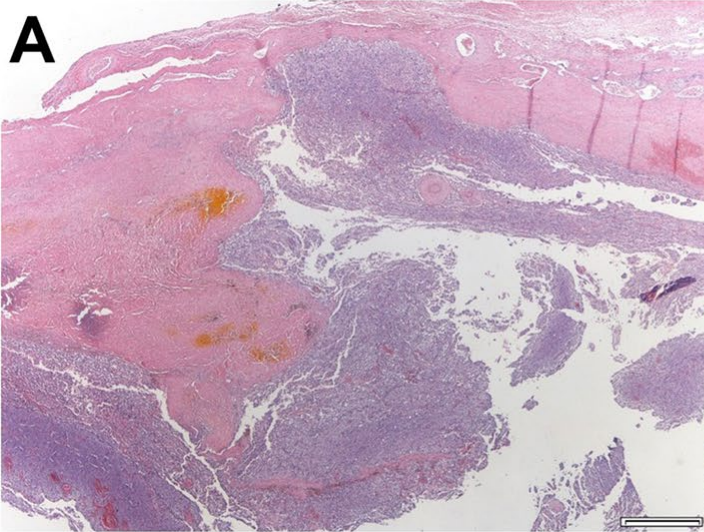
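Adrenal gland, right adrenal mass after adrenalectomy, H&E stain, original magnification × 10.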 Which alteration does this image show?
capsular invasion of tumor cells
